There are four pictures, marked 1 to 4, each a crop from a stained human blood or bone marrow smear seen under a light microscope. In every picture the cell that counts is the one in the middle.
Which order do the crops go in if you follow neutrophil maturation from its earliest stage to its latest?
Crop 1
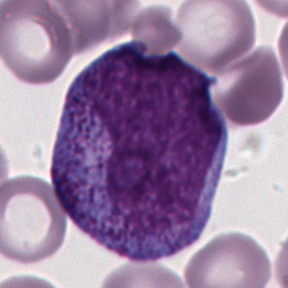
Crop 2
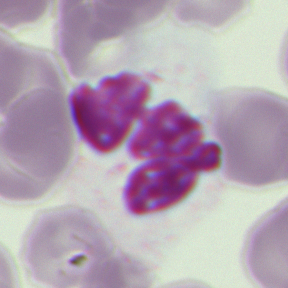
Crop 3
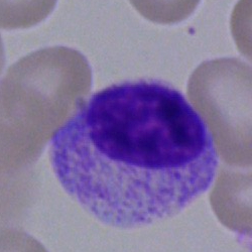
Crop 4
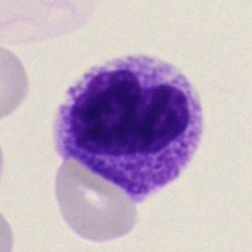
1, 3, 4, 2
